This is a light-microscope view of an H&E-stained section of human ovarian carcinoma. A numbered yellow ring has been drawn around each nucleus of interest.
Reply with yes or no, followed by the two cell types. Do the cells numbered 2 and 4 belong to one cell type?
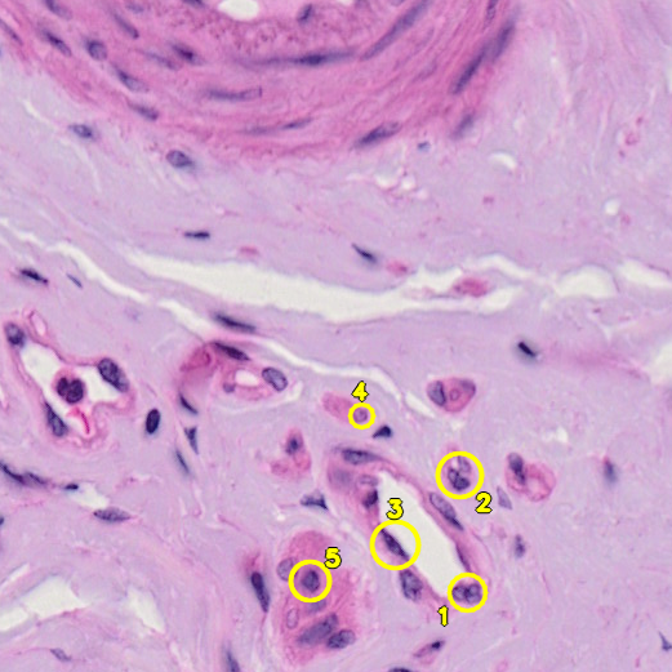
No, cell 2 is an endothelial cell, whereas cell 4, for its part, is a smooth muscle cell.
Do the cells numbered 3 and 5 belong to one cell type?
No, the cell numbered 3 is an endothelial cell and the cell numbered 5 is a smooth muscle cell.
